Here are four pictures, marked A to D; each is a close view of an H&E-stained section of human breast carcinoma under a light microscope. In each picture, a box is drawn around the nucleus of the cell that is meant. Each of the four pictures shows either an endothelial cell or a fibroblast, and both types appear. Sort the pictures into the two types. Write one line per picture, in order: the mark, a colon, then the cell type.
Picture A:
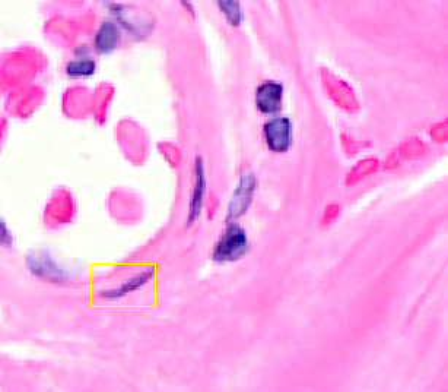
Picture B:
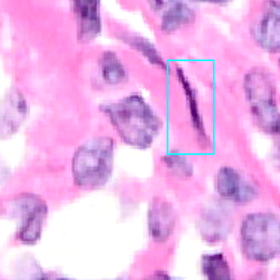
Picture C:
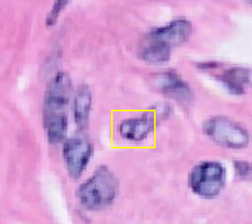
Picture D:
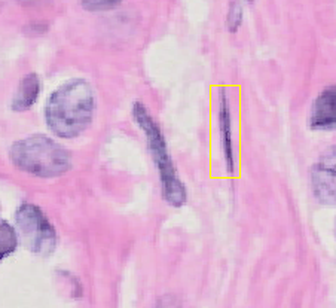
A: endothelial cell
B: fibroblast
C: endothelial cell
D: fibroblast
